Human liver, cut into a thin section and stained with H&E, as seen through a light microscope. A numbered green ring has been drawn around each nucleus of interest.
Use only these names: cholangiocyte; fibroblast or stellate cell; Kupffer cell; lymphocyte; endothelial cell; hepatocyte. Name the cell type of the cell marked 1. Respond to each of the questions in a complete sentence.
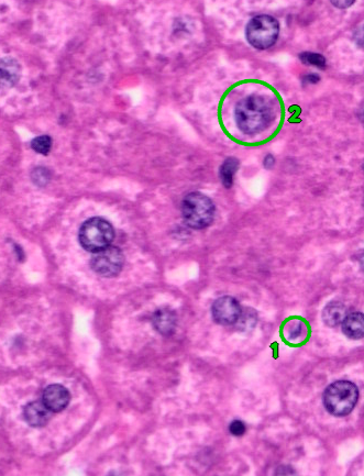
The cell to which the number 1 is assigned is an endothelial cell.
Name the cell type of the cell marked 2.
The one labeled 2 is a hepatocyte, to put it simply.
